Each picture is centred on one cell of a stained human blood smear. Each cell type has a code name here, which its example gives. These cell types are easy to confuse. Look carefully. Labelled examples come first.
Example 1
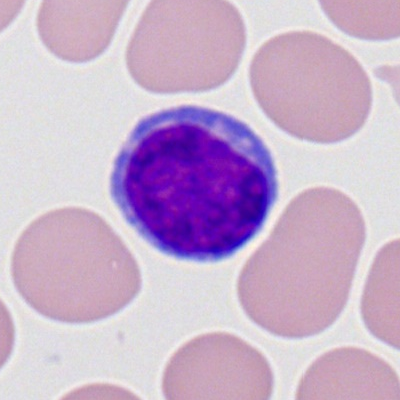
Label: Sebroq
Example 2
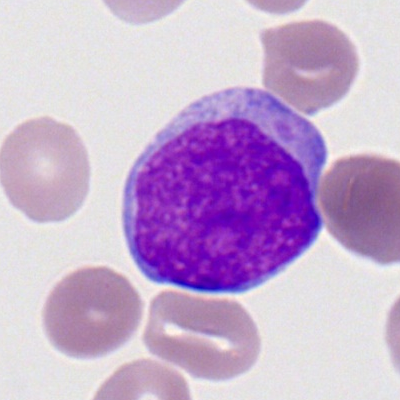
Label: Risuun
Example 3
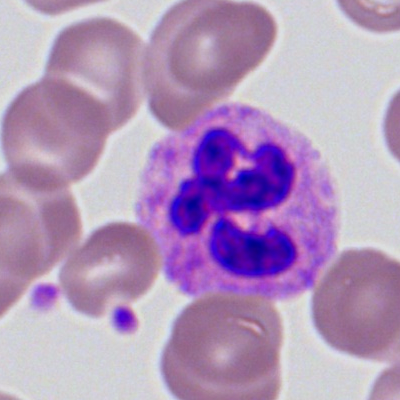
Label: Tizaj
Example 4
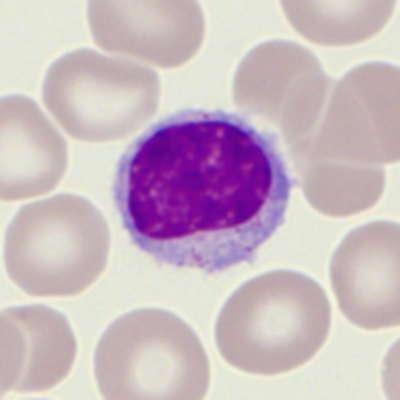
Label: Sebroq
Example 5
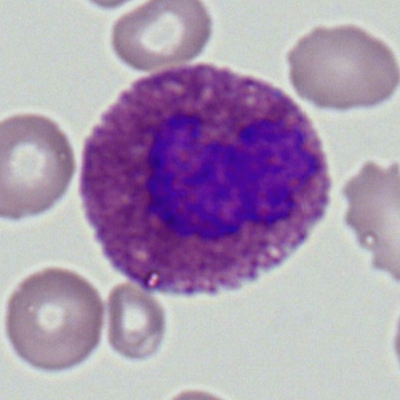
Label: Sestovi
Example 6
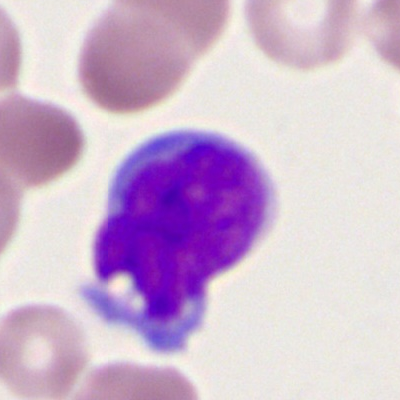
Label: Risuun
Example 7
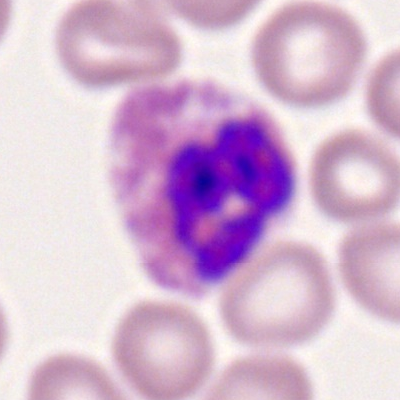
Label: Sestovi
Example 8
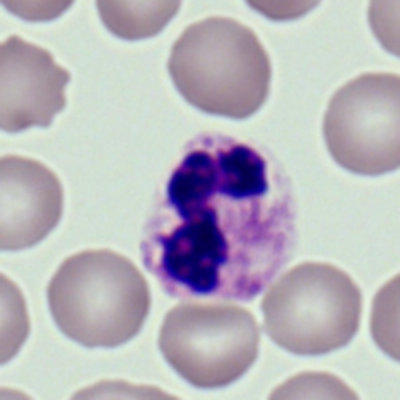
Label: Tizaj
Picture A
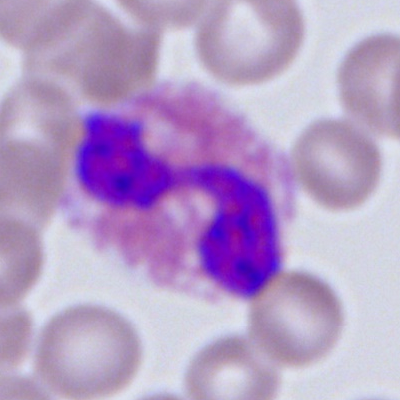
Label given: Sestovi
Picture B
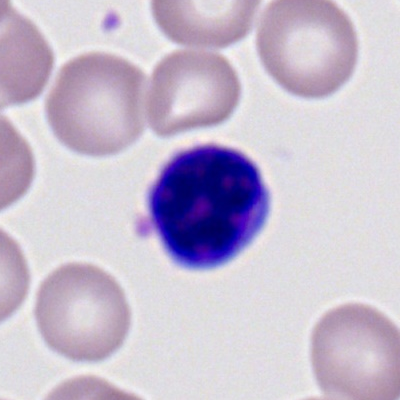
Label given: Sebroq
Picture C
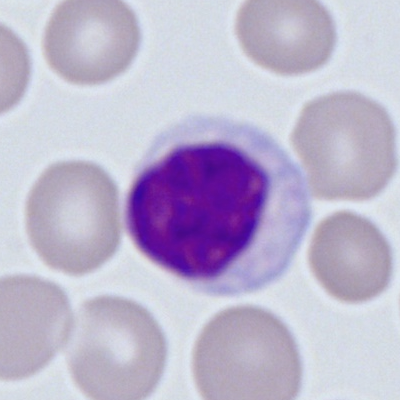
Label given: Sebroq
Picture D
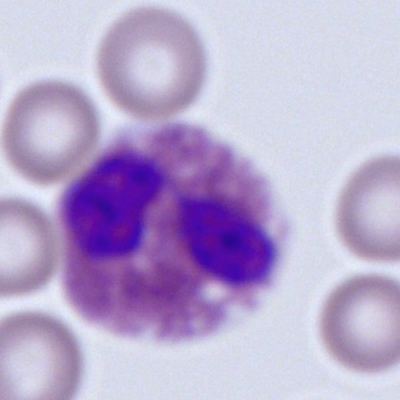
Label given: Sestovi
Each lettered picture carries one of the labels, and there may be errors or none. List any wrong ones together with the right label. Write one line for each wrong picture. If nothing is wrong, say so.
Nothing to fix; every label fits.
